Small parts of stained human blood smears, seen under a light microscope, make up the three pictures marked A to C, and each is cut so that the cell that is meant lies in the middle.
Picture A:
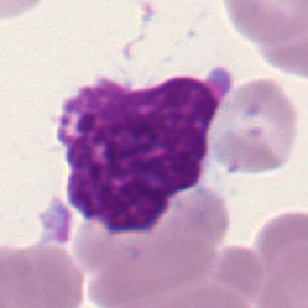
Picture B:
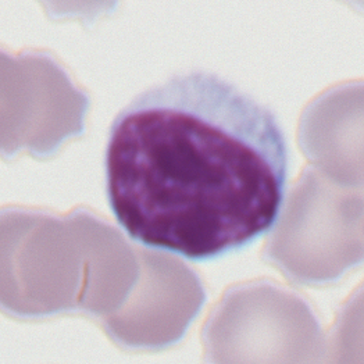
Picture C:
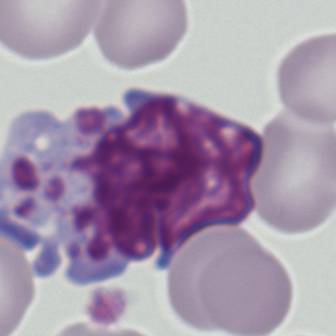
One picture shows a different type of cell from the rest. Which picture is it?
A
